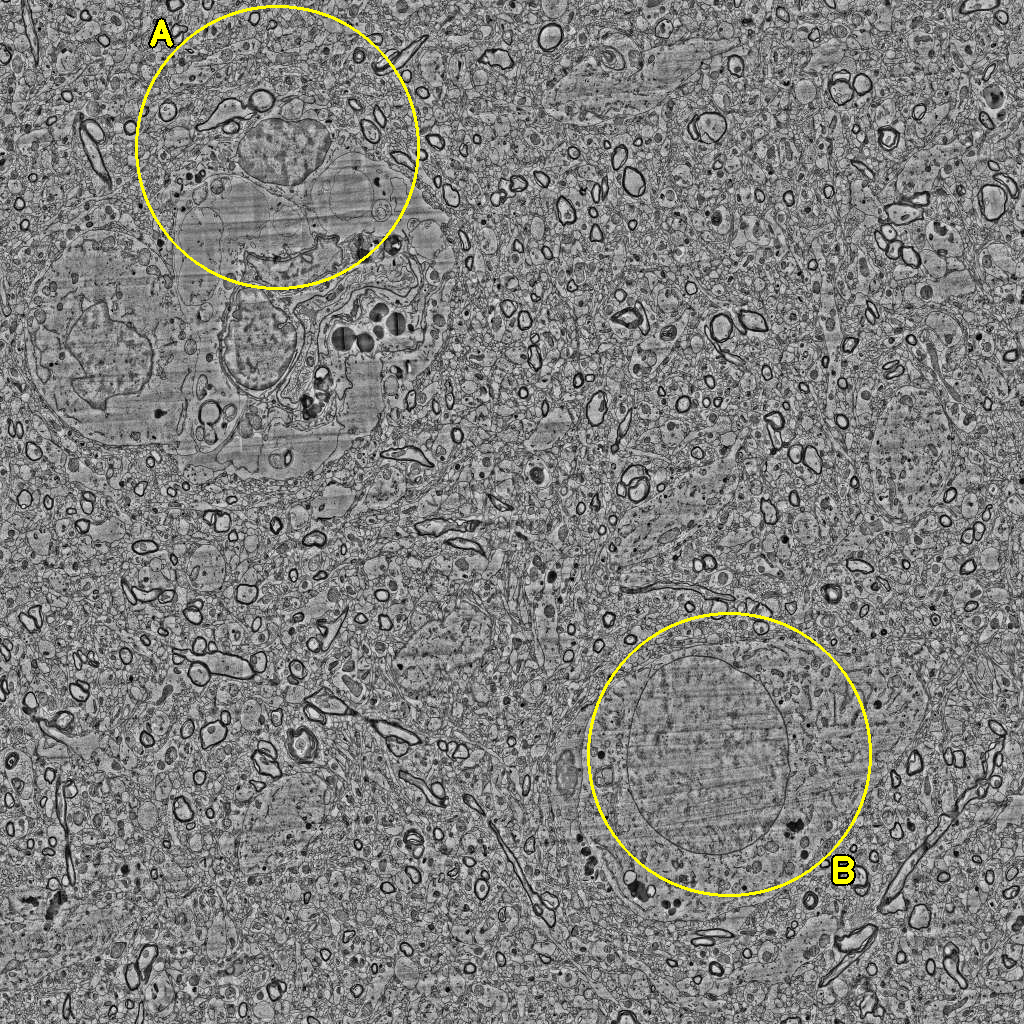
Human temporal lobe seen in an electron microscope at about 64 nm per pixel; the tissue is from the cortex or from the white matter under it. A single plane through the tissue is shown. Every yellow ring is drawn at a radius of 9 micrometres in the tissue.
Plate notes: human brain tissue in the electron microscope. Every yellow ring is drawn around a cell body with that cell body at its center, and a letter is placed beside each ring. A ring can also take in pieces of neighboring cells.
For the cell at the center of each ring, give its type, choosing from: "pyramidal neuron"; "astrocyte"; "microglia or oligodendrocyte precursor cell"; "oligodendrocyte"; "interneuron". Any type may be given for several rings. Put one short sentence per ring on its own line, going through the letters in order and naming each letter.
Ring A shows a microglial cell or oligodendrocyte precursor cell at the center.
Ring B shows a pyramidal neuron at the center.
